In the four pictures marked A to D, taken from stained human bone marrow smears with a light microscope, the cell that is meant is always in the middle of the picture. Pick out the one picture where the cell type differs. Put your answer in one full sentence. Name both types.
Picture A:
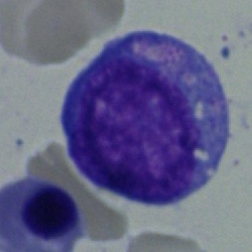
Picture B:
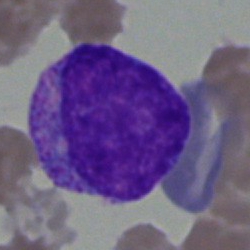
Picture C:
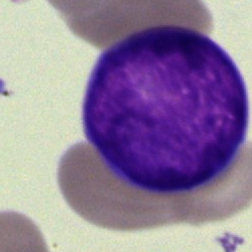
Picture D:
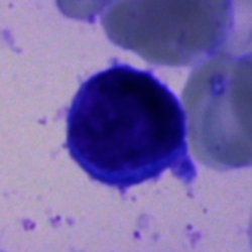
All pictures except D show blasts; picture D shows a lymphocyte.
